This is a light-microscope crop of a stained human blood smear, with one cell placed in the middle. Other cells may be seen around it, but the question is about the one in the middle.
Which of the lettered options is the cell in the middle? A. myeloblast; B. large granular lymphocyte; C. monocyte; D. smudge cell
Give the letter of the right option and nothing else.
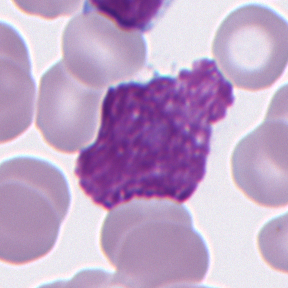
D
